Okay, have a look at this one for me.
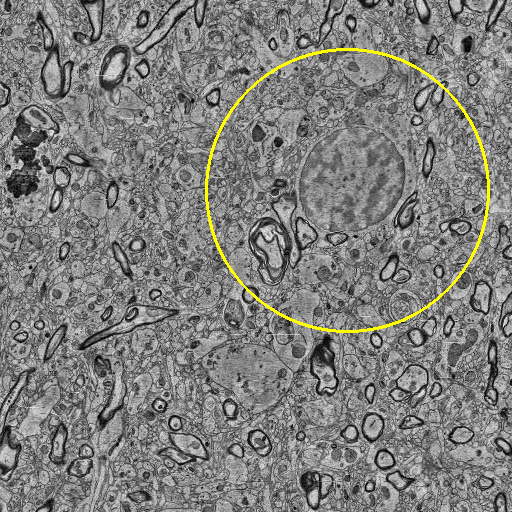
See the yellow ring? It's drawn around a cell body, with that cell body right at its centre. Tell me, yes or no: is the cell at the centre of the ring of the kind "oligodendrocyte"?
Yes, it is of that kind.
